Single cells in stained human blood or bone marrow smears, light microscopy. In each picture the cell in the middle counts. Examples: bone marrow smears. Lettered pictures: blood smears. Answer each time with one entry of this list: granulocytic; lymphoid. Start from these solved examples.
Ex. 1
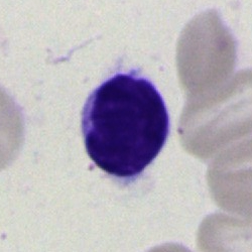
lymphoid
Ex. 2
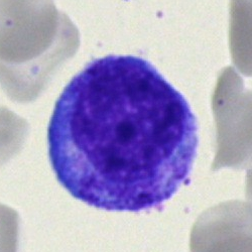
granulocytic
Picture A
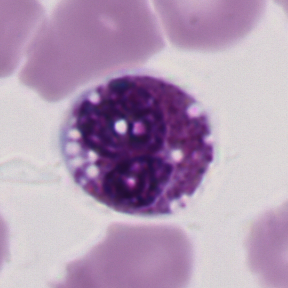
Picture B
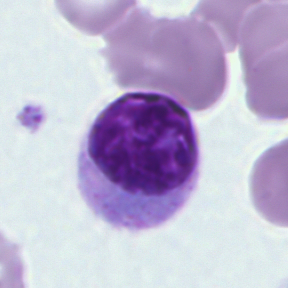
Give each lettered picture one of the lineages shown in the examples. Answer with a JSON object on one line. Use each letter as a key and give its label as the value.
{"A": "granulocytic", "B": "lymphoid"}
